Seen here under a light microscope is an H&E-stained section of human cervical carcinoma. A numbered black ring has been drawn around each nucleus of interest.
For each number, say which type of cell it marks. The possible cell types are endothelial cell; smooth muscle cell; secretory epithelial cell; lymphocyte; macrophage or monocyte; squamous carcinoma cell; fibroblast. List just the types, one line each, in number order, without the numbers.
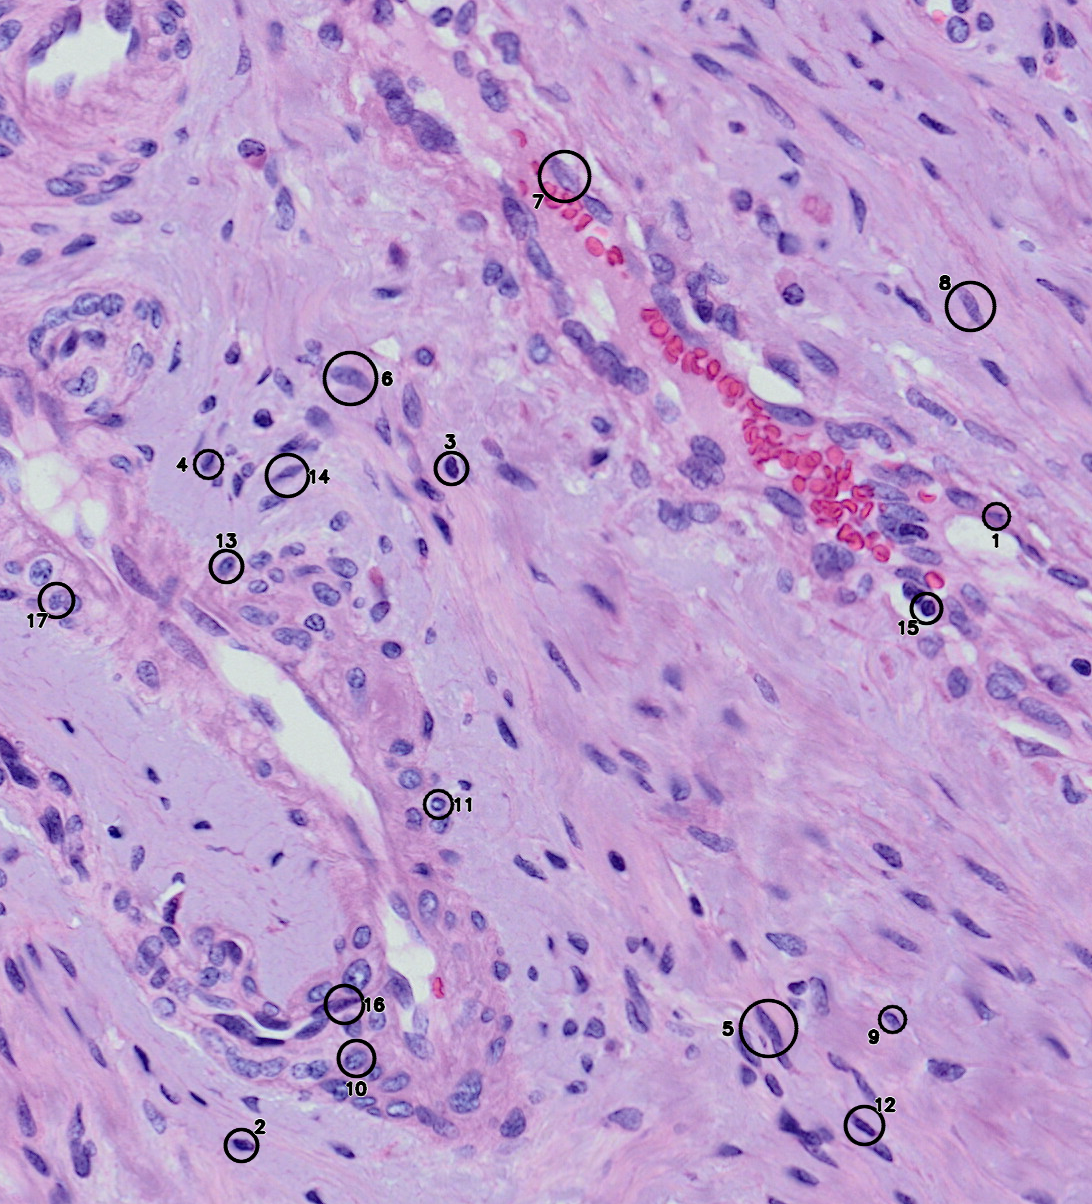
endothelial cell
fibroblast
lymphocyte
fibroblast
fibroblast
fibroblast
endothelial cell
fibroblast
fibroblast
smooth muscle cell
smooth muscle cell
fibroblast
smooth muscle cell
fibroblast
lymphocyte
endothelial cell
smooth muscle cell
